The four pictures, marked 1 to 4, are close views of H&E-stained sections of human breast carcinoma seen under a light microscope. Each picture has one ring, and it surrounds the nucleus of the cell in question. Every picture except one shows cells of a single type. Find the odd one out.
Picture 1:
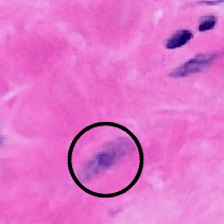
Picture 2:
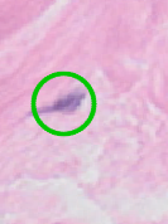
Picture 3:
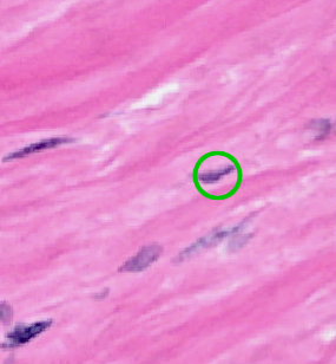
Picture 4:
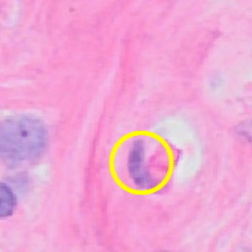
4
